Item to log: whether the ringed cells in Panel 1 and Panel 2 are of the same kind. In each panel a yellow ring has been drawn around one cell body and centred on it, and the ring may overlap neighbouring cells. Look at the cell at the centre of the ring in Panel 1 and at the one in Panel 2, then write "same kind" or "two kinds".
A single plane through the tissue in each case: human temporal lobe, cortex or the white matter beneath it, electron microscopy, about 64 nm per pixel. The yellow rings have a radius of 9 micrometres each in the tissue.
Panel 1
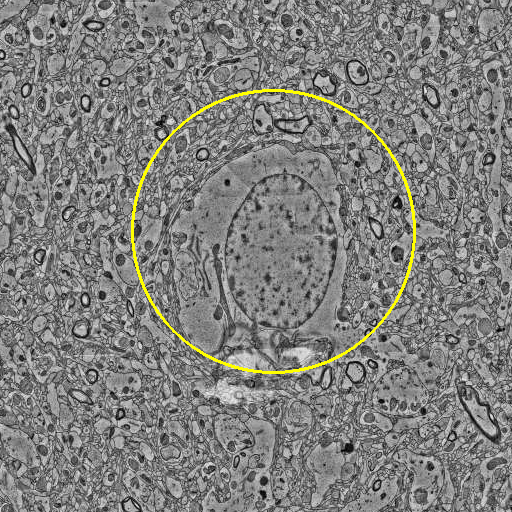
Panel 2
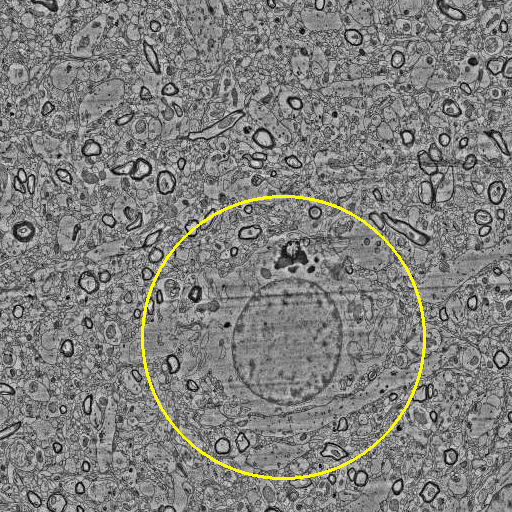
same kind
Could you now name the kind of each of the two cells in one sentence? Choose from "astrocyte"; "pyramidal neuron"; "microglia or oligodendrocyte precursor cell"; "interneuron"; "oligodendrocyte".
In each picture the ringed cell is an astrocyte.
